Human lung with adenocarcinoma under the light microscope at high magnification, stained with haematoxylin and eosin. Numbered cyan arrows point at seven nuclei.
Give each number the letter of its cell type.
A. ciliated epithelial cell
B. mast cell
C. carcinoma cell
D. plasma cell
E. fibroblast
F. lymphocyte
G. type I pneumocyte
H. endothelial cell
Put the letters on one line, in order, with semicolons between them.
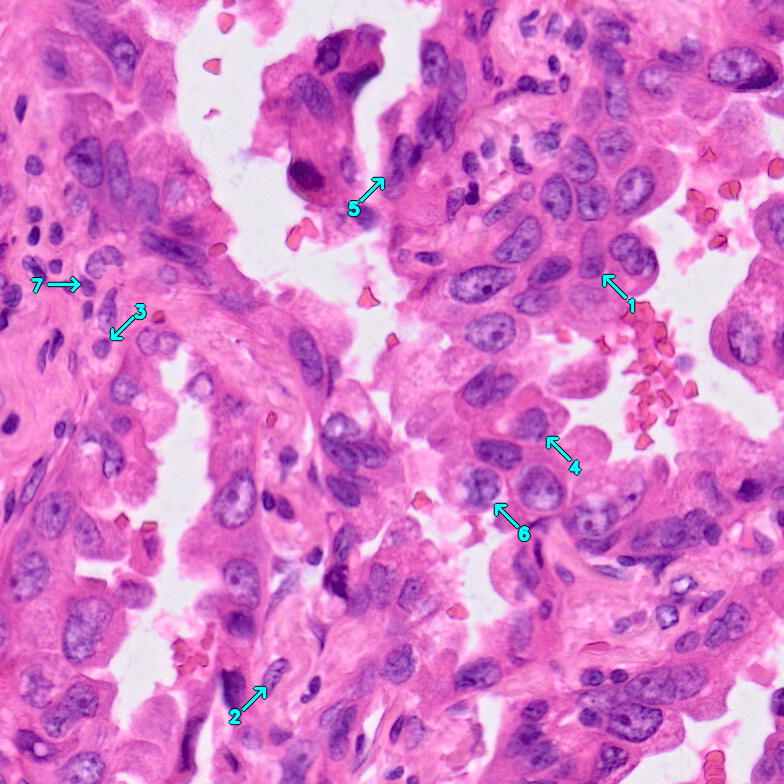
C; E; F; C; C; C; F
